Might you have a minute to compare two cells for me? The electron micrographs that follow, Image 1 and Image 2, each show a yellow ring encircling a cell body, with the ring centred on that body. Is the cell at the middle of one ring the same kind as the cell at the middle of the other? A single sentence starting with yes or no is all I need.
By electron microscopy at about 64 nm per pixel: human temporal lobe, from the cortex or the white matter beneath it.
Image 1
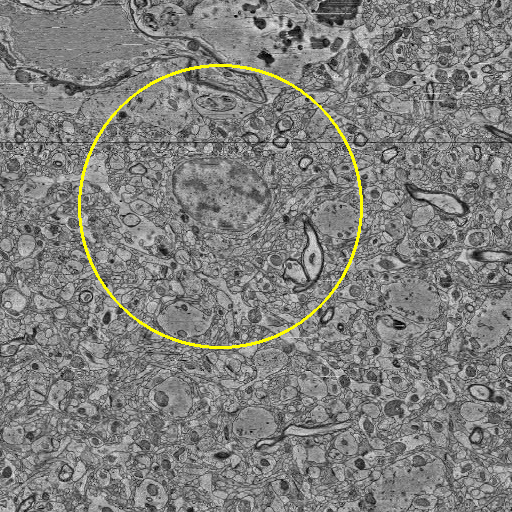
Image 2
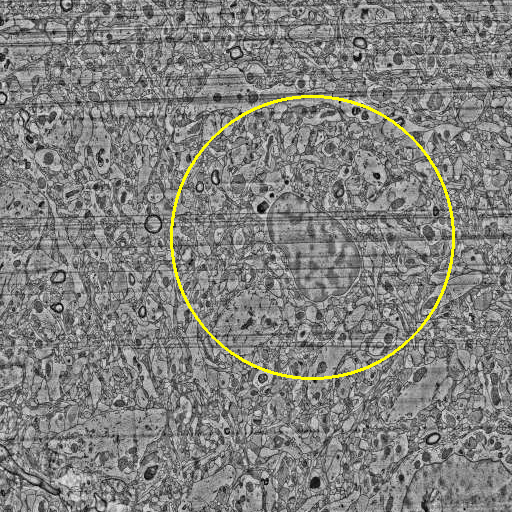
No, the cells in the middle of the two rings are of two separate kinds.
